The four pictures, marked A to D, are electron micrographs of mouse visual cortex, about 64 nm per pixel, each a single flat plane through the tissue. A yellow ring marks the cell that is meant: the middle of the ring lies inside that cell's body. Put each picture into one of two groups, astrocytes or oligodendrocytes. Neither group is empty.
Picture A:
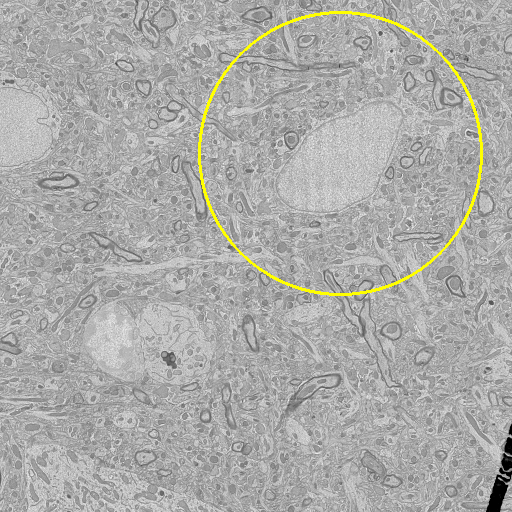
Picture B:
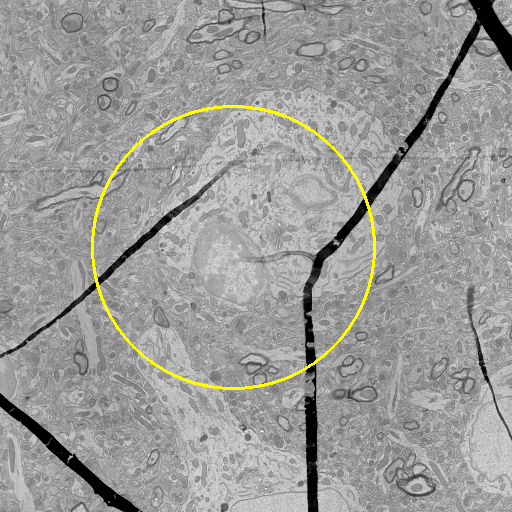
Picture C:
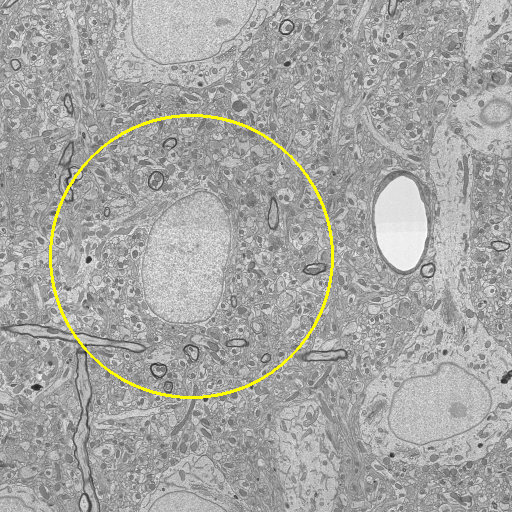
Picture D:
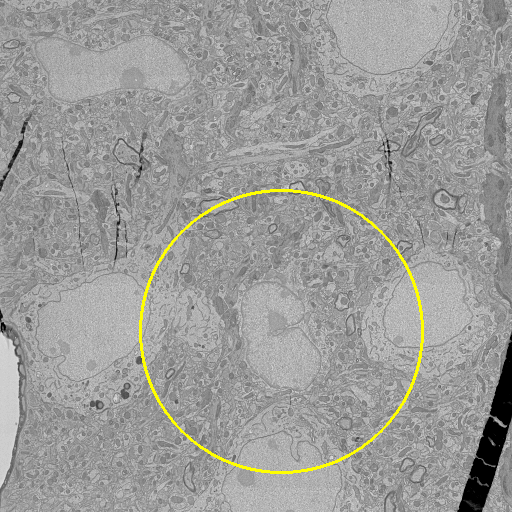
Pictures A, C and D show astrocytes, while picture B shows an oligodendrocyte.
